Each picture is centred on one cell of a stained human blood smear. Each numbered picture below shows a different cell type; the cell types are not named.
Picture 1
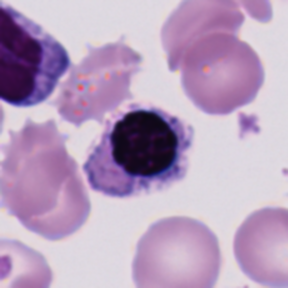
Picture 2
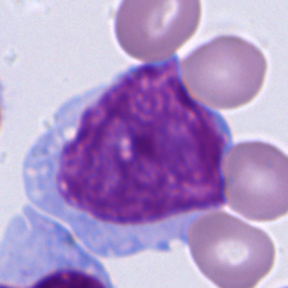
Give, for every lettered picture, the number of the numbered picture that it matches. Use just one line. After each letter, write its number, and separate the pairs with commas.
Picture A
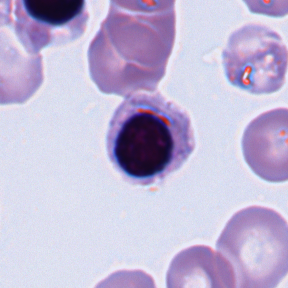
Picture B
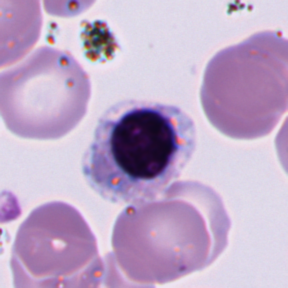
A 1, B 1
